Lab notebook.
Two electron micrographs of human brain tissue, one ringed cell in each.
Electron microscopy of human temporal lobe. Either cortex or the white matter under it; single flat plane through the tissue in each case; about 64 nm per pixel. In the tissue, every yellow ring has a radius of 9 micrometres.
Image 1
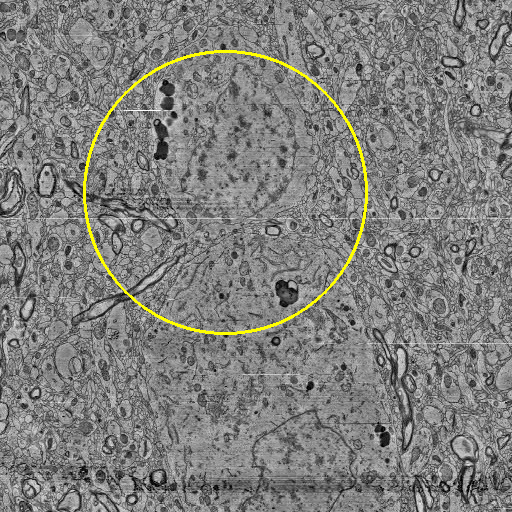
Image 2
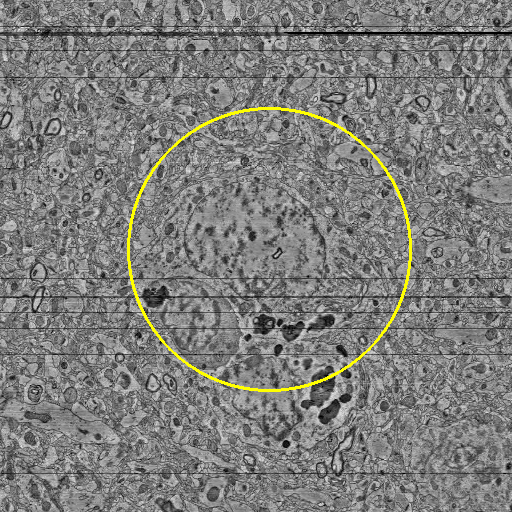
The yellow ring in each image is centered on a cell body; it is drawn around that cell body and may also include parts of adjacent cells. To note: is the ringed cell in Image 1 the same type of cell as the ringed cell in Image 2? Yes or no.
yes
